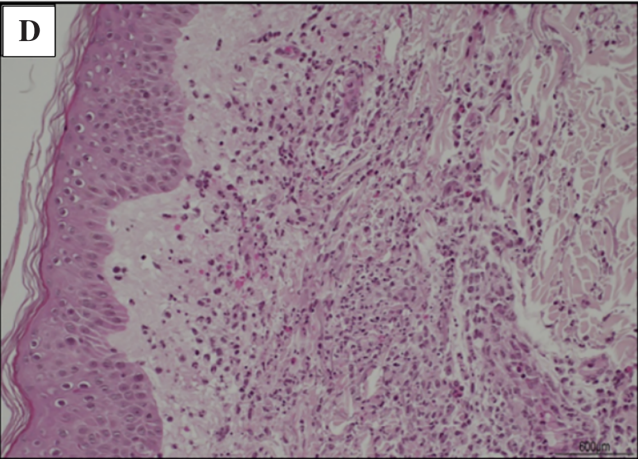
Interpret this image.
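This is skin with the pink layered epidermis on the left and a dermis beneath it full of scattered inflammatory cells. Just under the epidermis the dermis is pale and loose, as if swollen, and deeper the inflammatory cells lie spread between pink collagen bundles.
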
